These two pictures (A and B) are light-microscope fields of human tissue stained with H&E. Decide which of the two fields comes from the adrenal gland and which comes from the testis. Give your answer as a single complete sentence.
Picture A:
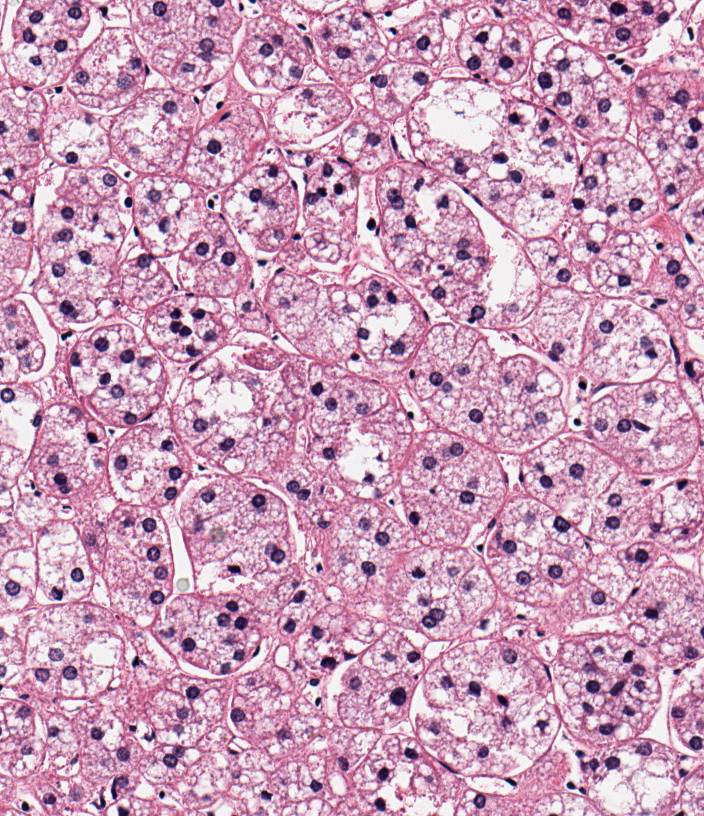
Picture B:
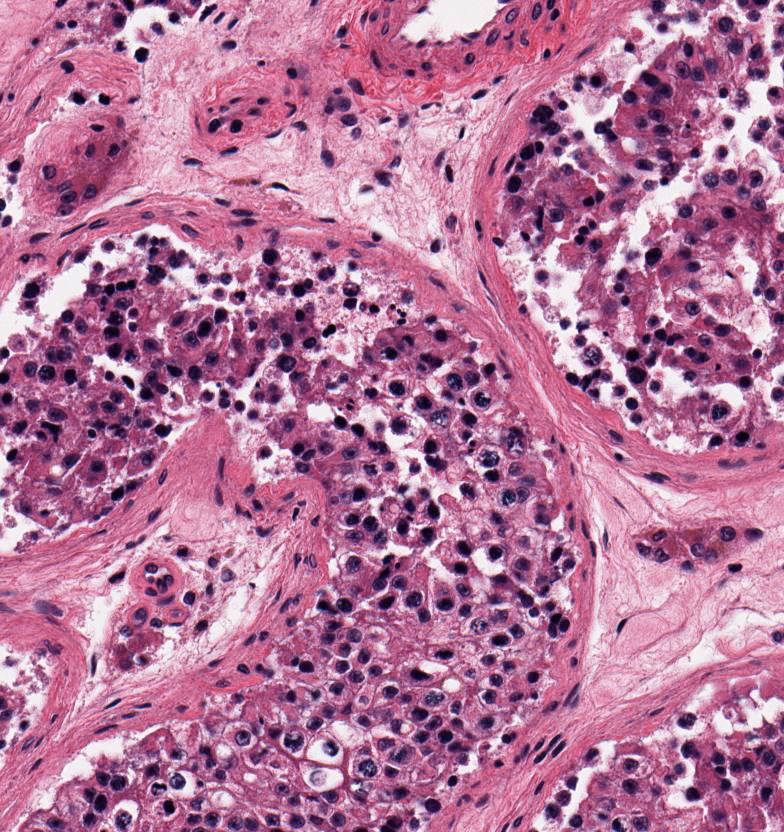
Picture B comes from the testis, while picture A comes from the adrenal gland.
